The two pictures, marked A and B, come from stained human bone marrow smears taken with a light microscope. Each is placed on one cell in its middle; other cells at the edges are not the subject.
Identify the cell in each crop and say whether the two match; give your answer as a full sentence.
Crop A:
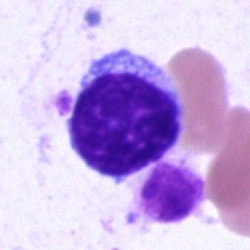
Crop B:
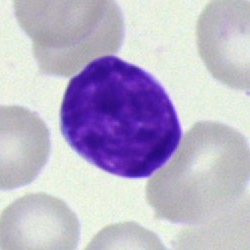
No, crop A represents a lymphocyte, and crop B represents a blast.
